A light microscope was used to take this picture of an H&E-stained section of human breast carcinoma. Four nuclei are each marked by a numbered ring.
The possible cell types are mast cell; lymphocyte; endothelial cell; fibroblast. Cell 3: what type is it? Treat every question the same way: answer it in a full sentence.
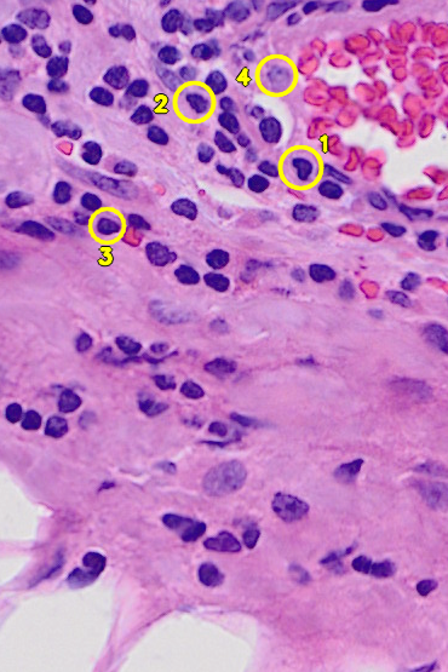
The expected answer is that cell 3 is a lymphocyte.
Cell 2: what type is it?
The cell given label 2 is a lymphocyte.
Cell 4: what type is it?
Cell number 4 in this section is an endothelial cell.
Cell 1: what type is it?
What the number 1 marks in this field is a lymphocyte.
